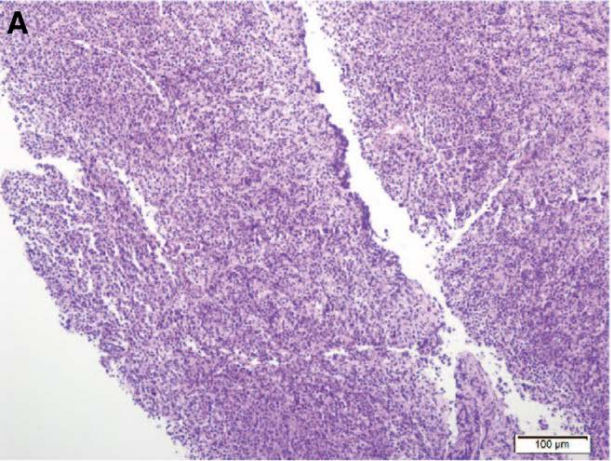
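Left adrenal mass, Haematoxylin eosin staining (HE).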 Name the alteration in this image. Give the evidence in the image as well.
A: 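Diffusely distributed. No glands, nests or lobular pattern separate the cells.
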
